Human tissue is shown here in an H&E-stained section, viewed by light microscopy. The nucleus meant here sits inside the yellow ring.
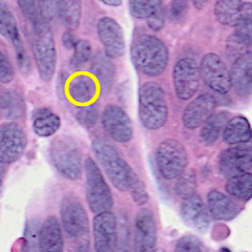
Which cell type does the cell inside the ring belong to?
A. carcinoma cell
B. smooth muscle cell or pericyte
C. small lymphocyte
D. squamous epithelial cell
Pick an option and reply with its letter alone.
A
